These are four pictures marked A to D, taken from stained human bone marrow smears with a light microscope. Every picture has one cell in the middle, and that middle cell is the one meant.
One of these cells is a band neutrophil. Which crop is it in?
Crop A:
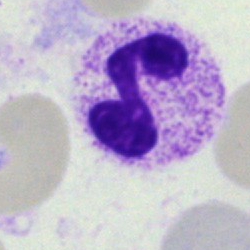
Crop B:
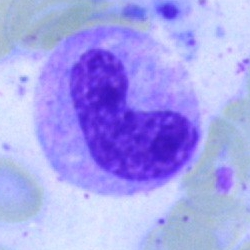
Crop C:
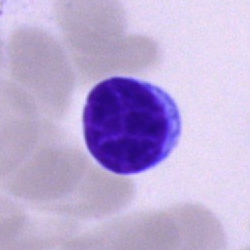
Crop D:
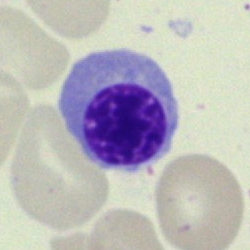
B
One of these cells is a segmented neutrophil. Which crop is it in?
A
